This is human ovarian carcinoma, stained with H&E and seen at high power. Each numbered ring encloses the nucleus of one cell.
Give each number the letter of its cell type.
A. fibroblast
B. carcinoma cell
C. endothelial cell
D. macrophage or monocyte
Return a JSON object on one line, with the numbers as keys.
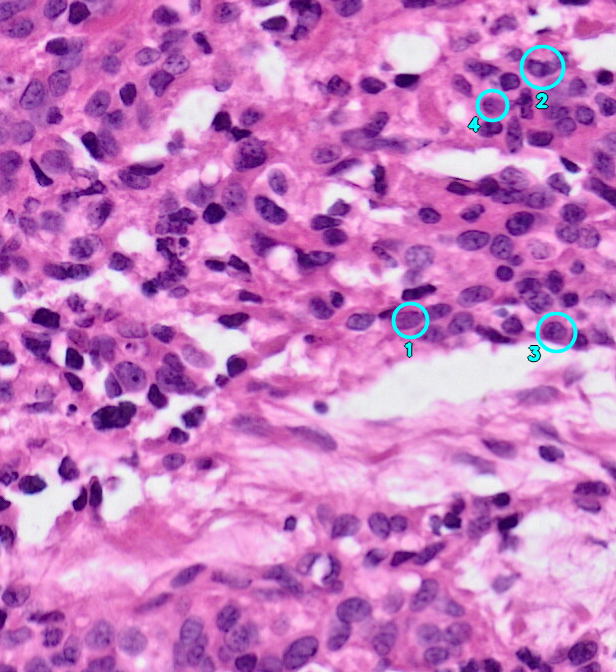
{"1": "B", "2": "D", "3": "B", "4": "B"}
